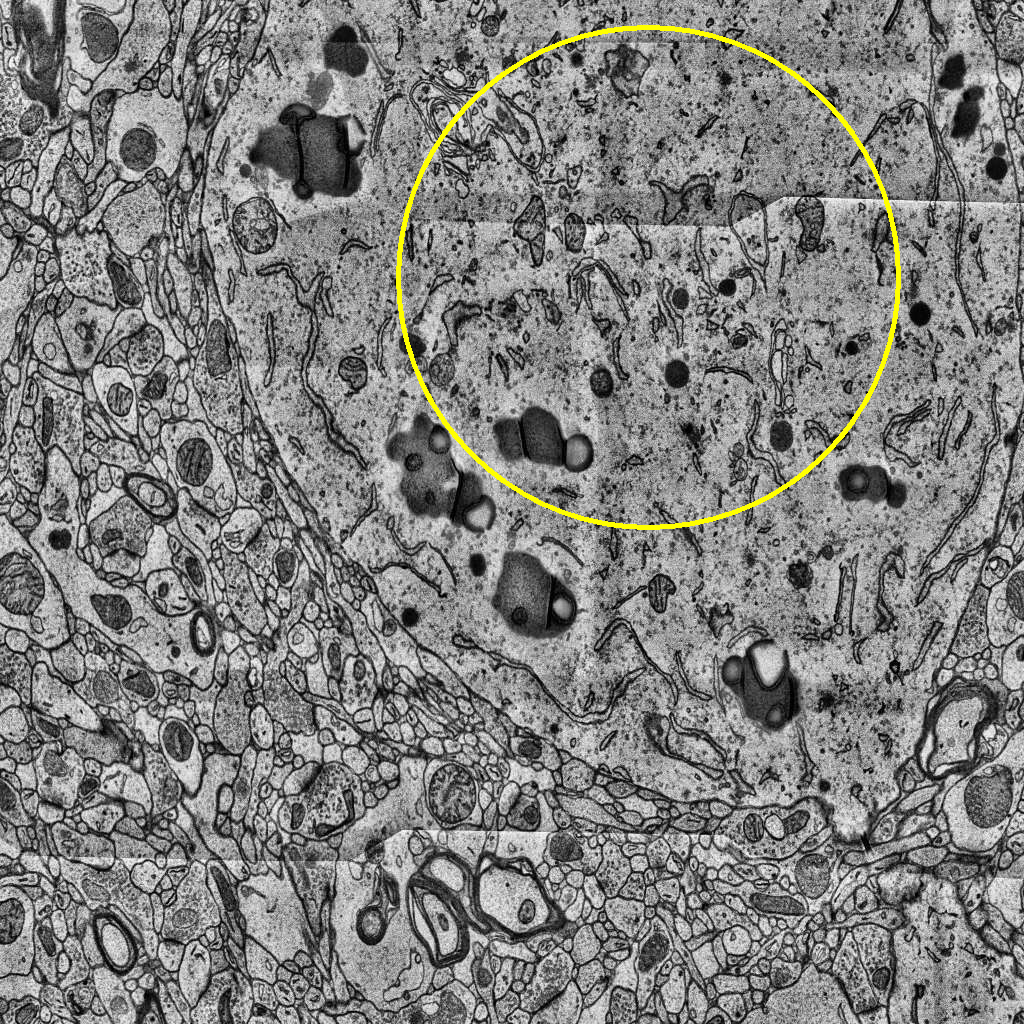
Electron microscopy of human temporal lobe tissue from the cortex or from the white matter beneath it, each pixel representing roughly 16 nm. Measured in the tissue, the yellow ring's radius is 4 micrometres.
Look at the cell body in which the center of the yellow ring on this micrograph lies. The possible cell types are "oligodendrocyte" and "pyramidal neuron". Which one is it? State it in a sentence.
The cell at the middle of the ring is a pyramidal neuron.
